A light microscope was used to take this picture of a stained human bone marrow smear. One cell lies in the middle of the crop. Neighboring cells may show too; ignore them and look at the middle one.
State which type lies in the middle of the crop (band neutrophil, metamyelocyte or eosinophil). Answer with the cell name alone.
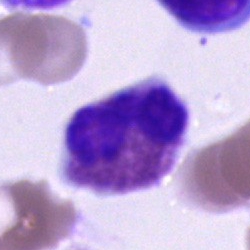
eosinophil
